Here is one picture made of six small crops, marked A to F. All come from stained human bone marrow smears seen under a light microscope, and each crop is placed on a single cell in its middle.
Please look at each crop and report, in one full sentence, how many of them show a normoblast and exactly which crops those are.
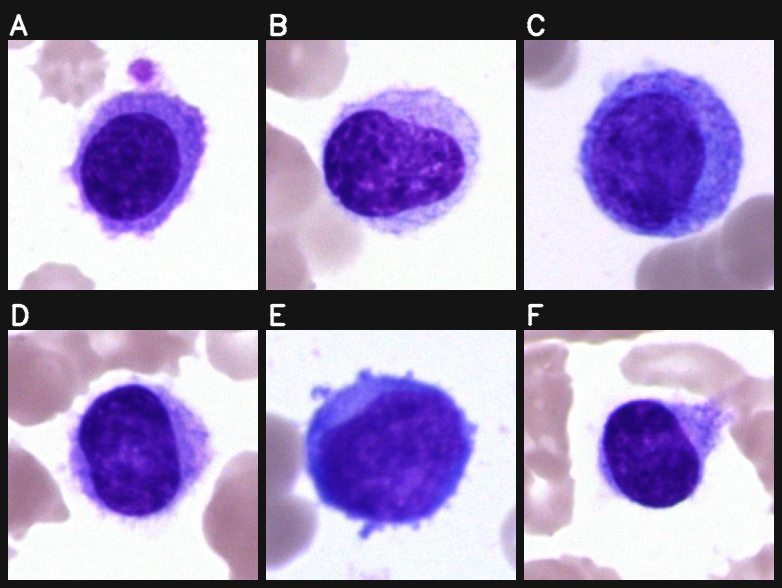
With normoblasts absent from every crop, the count is zero.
